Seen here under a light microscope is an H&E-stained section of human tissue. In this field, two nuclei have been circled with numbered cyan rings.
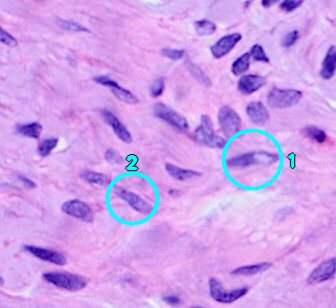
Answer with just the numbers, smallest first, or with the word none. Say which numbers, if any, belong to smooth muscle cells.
2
